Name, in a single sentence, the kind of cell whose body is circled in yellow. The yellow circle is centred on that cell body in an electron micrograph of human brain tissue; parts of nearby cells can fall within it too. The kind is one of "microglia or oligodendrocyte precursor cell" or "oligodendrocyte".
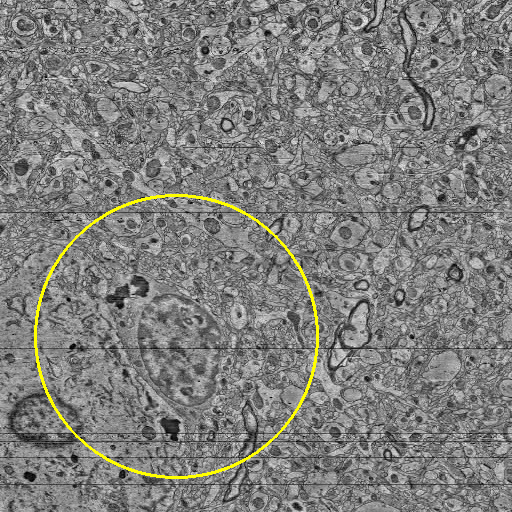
The circled cell body belongs to an oligodendrocyte.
